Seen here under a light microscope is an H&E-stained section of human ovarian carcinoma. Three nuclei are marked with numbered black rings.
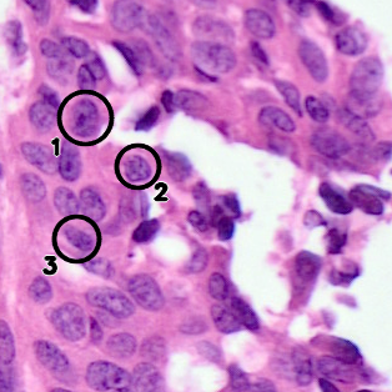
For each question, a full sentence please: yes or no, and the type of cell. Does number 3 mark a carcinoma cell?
No, it is a macrophage or monocyte that is marked with number 3, not a carcinoma cell.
